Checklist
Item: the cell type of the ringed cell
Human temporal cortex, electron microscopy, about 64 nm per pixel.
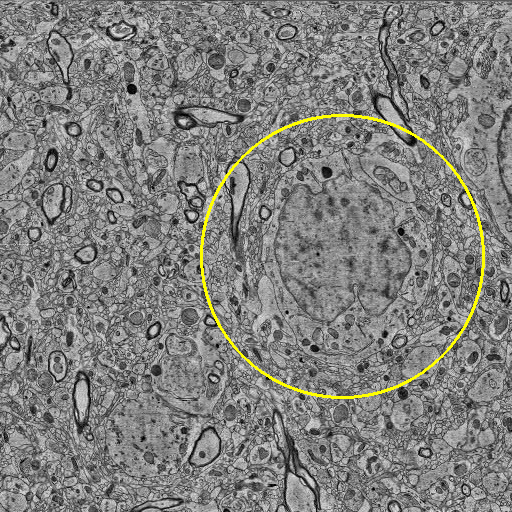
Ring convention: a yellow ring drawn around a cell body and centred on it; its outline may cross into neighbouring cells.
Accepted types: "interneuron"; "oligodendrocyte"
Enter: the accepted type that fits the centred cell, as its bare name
interneuron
